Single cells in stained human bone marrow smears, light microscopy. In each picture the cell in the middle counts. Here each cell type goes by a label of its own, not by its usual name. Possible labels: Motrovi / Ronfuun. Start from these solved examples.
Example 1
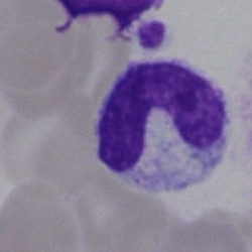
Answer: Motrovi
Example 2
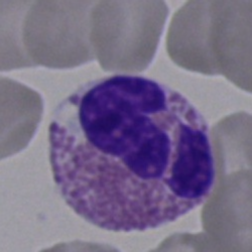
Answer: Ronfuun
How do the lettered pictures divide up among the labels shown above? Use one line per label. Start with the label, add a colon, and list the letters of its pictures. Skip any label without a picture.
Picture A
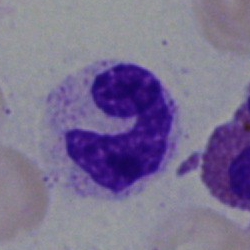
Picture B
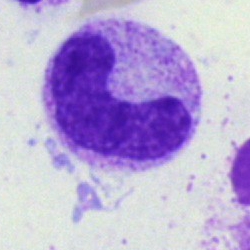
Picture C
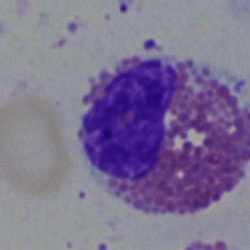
Motrovi: A, B
Ronfuun: C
